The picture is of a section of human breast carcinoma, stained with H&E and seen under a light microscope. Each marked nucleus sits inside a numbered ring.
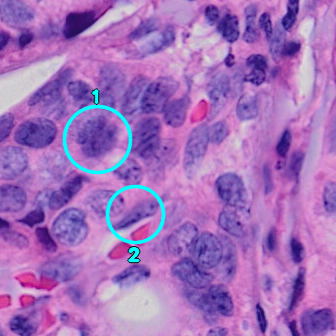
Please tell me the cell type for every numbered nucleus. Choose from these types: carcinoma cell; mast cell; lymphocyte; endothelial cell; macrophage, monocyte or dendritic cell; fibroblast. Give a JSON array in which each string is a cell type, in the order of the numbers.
["carcinoma cell", "endothelial cell"]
